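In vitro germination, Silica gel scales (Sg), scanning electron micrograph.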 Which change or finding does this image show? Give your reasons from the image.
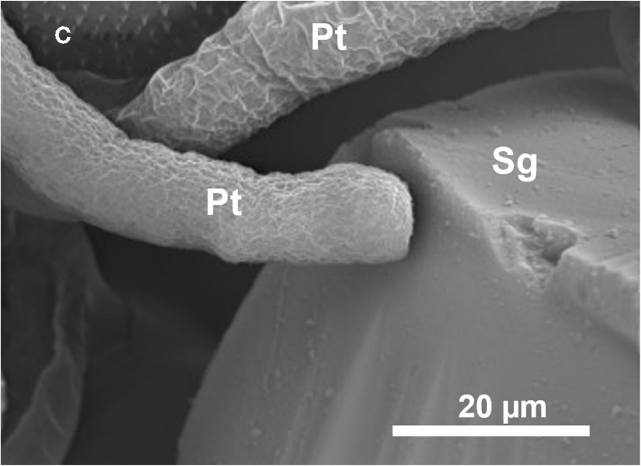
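Flattened apex. The tip of the lower tube ends bluntly against the flat substrate. The tube end looks compressed rather than rounded.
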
